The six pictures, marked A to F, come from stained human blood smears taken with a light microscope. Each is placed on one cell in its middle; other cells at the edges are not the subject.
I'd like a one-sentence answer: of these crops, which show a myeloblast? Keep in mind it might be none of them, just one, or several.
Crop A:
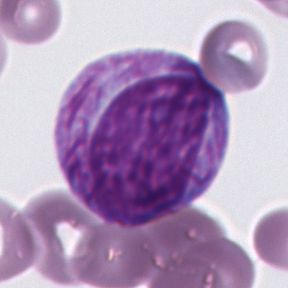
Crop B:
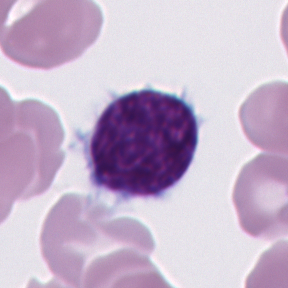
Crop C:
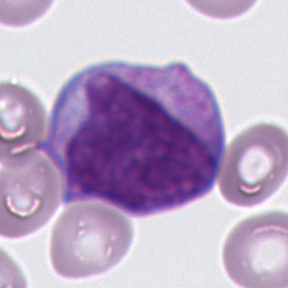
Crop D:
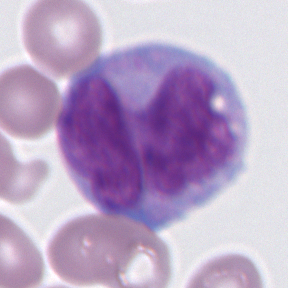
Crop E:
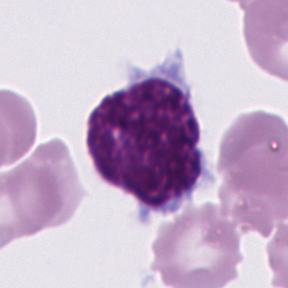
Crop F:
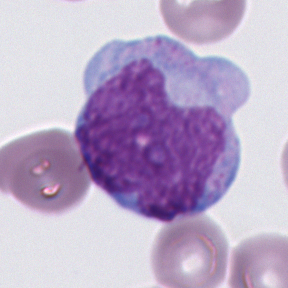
In every crop, the cell at the centre is other than a myeloblast.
